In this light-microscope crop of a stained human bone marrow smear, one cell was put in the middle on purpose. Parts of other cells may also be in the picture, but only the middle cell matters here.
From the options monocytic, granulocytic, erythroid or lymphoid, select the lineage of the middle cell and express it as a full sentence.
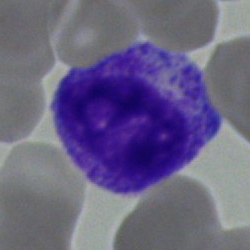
The central cell is grouped with the granulocytic lineage.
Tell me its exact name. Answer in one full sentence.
Here the centrally located cell is a myelocyte.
